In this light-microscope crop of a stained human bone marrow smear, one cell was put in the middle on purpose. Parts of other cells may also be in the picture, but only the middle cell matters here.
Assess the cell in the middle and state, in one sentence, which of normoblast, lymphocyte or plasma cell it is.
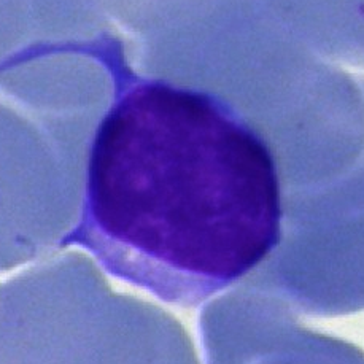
Looking at the middle of the crop, the cell there is a lymphocyte.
